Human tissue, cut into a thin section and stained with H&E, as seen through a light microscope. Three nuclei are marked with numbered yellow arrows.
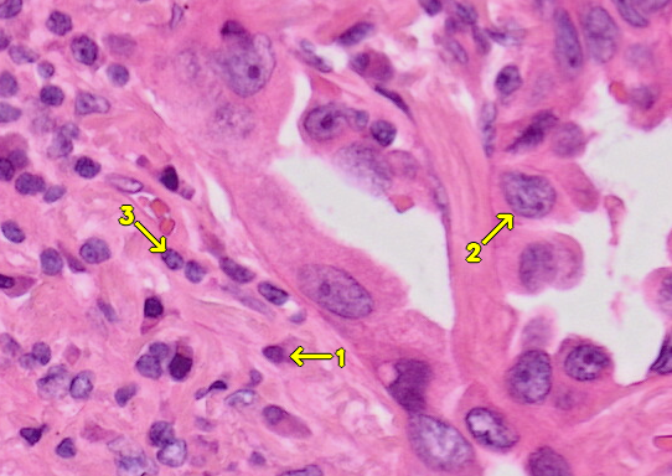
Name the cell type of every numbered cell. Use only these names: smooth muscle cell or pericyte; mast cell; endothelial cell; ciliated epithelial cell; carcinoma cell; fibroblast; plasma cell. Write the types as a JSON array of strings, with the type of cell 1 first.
["plasma cell", "carcinoma cell", "mast cell"]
